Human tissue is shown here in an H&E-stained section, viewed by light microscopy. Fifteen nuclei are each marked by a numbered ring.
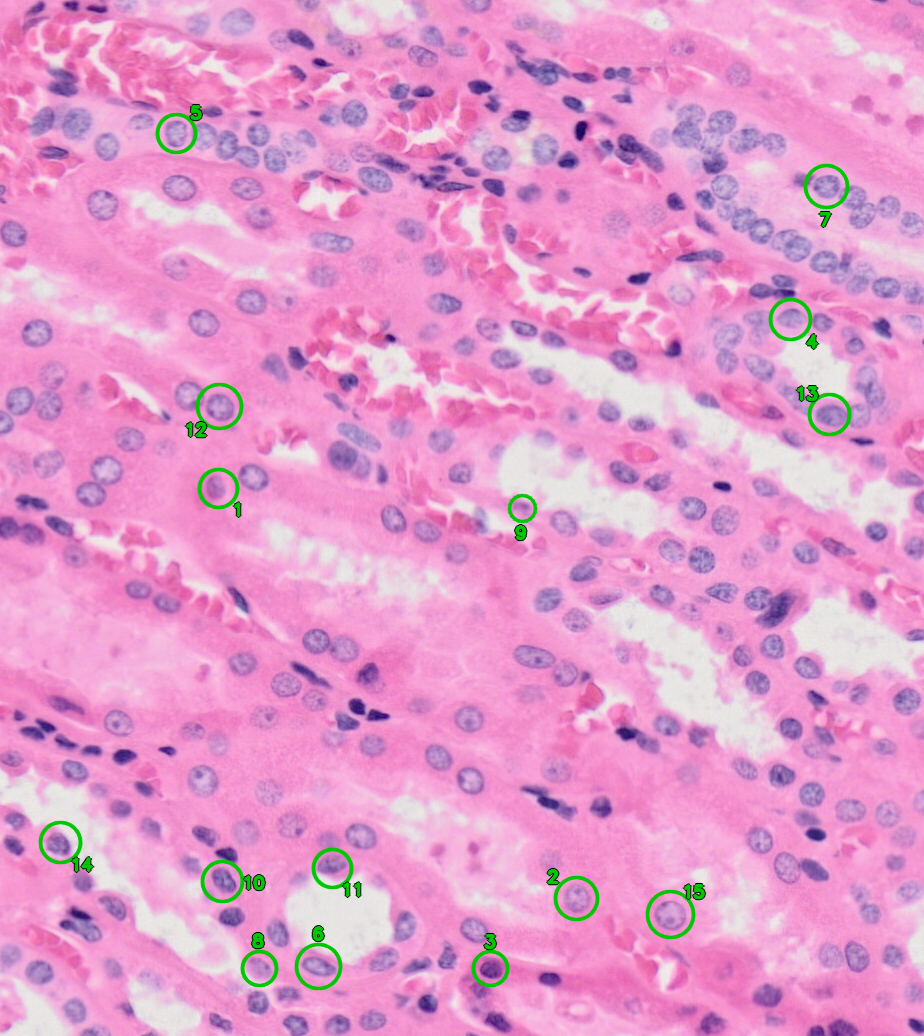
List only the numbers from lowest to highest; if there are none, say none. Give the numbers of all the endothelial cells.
none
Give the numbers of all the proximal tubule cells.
1, 2, 3, 12, 15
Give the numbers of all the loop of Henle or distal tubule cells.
6, 8, 9, 10, 11, 14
